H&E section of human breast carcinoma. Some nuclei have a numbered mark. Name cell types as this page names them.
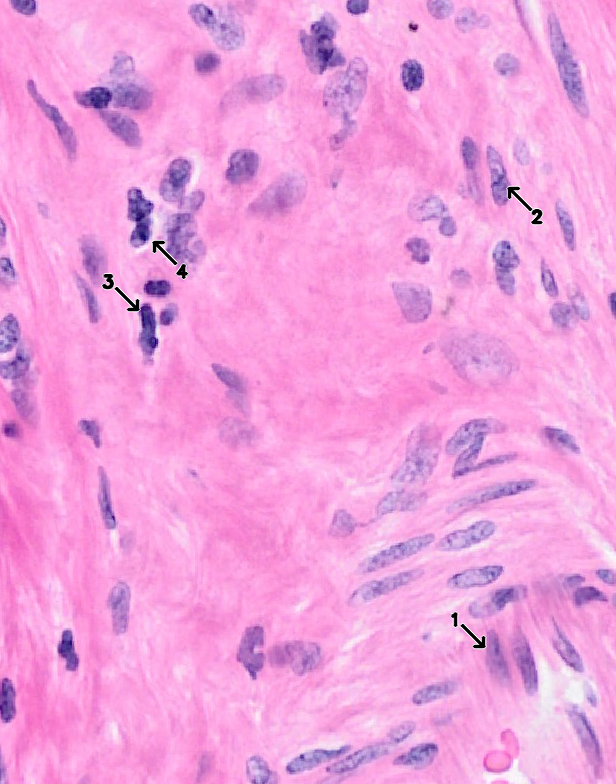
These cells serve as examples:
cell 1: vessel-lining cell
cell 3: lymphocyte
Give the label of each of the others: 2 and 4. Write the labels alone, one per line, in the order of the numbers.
vessel-lining cell
lymphocyte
